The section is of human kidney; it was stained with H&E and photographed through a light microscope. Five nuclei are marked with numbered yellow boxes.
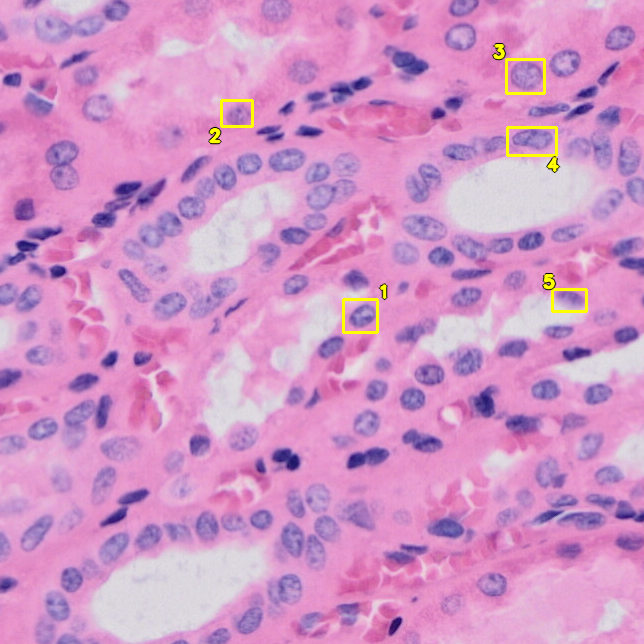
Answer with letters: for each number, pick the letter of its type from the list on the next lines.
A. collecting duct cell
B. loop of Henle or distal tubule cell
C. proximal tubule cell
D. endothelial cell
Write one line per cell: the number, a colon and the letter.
1: B
2: C
3: C
4: A
5: B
